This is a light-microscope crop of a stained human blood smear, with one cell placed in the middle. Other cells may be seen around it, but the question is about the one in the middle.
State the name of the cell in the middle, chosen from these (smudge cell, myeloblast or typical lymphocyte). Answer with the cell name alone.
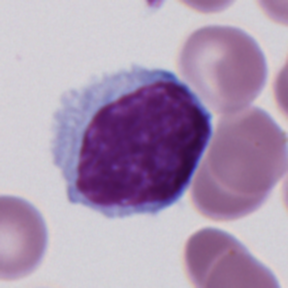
typical lymphocyte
